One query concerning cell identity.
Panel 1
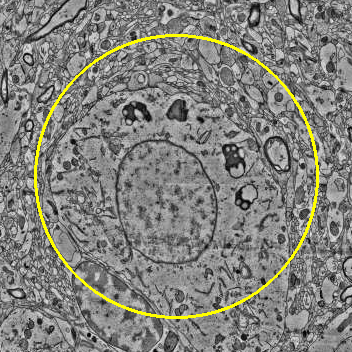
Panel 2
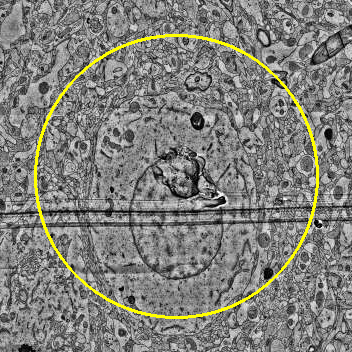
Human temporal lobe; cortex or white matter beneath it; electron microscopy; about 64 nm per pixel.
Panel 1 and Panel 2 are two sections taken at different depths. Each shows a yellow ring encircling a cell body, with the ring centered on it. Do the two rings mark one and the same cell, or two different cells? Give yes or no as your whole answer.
no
